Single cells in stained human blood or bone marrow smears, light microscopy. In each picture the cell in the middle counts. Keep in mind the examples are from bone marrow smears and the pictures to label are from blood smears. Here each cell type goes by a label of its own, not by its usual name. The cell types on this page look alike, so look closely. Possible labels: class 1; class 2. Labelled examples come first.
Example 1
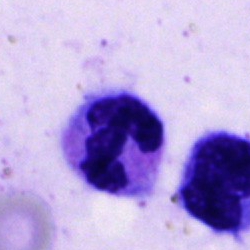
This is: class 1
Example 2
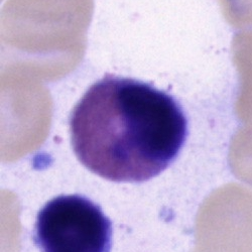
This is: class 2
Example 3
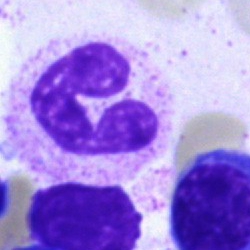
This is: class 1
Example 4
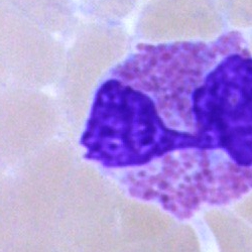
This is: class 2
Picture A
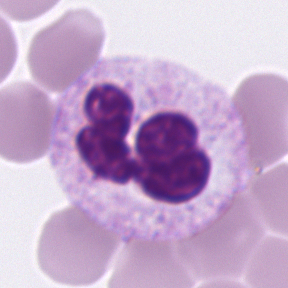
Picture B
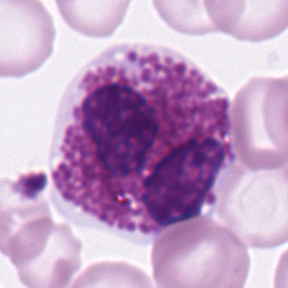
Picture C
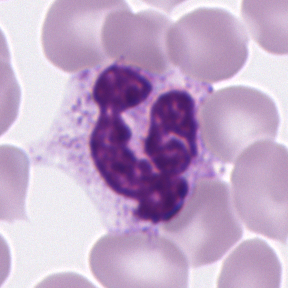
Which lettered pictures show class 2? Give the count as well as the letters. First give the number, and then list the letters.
1: B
